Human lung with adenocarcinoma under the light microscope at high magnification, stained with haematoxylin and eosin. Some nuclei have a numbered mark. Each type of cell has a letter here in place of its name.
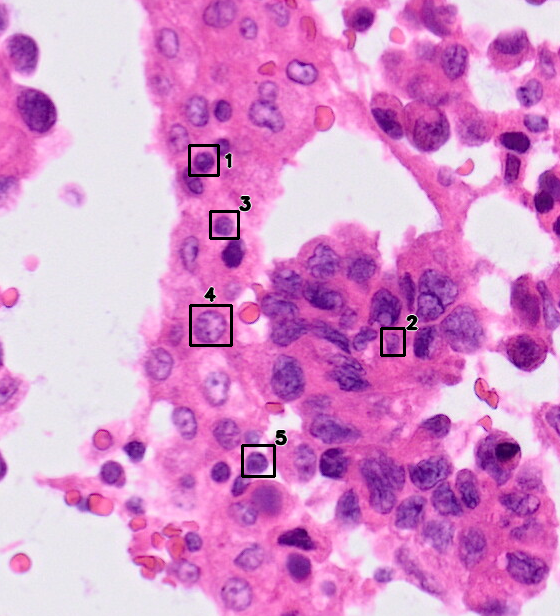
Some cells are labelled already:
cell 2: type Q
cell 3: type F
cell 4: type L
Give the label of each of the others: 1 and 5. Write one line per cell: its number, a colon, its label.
1: type F
5: type F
